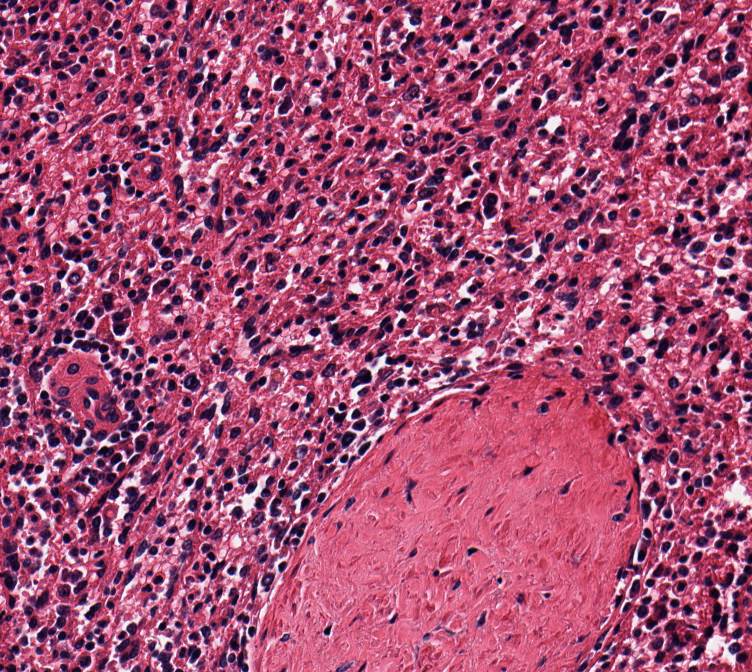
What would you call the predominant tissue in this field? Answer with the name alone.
red pulp of the spleen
